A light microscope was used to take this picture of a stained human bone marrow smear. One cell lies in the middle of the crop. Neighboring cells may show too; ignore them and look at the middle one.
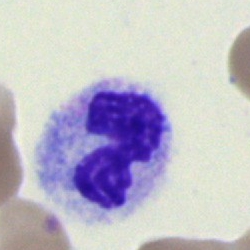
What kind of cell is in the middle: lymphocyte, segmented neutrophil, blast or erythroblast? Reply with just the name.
segmented neutrophil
